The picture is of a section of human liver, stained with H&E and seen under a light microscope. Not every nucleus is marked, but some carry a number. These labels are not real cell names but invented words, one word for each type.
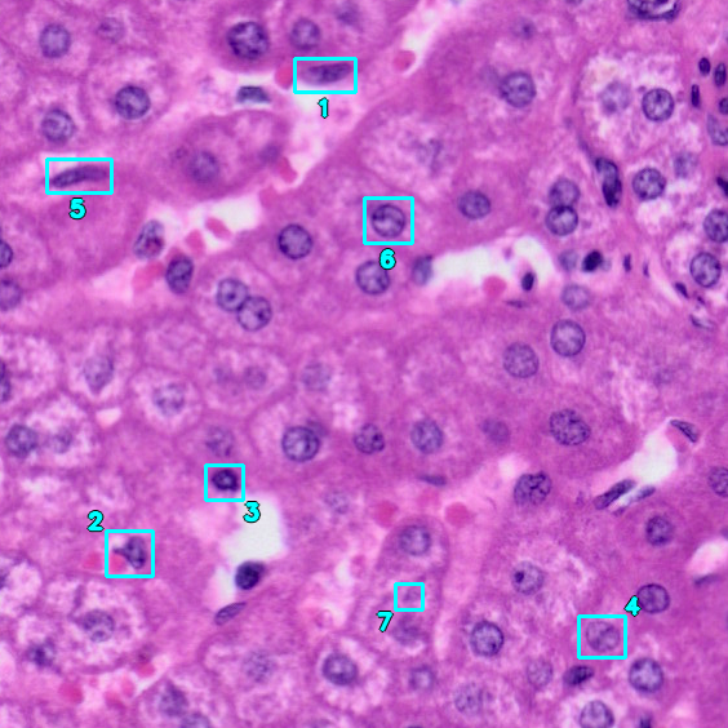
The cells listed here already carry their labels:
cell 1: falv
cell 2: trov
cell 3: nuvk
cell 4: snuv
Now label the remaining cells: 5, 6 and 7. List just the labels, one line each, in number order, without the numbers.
falv
snuv
snuv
